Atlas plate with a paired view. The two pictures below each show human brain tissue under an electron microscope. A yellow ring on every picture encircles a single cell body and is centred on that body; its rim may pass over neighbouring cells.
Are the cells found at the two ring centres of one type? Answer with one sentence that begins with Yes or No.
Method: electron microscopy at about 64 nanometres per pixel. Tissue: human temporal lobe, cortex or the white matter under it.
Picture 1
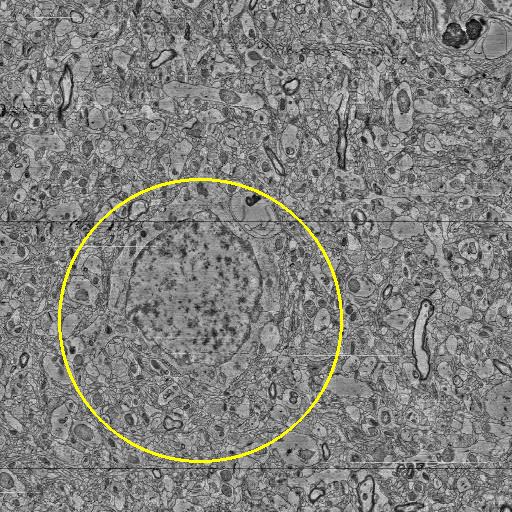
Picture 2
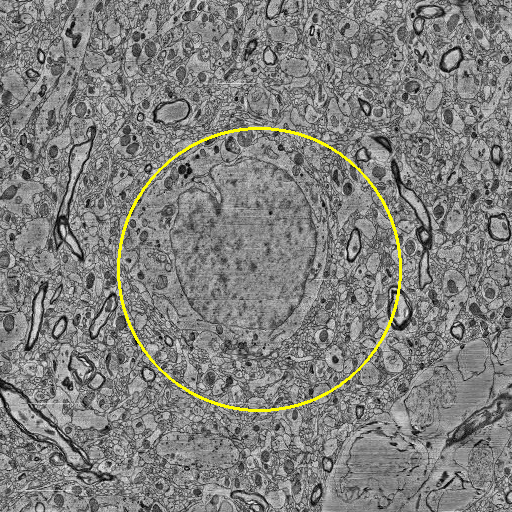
Yes, the two cells lying at the centres of the rings share a single type.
